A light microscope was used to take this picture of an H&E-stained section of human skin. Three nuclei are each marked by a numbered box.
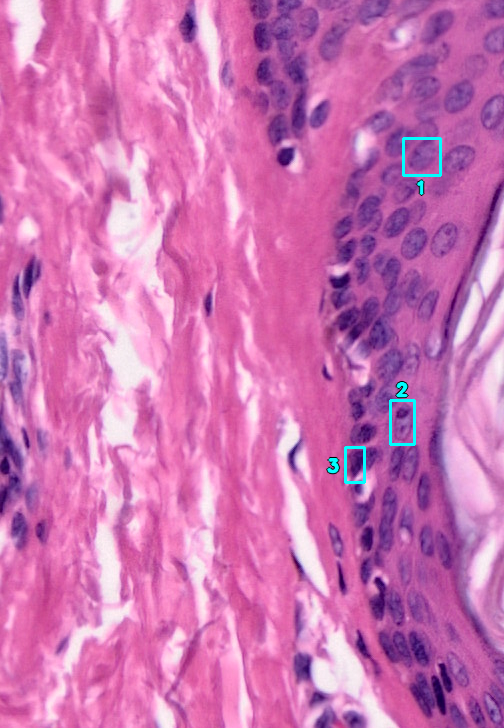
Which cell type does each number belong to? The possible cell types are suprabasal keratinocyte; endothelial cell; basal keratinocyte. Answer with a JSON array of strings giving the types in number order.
["suprabasal keratinocyte", "suprabasal keratinocyte", "basal keratinocyte"]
